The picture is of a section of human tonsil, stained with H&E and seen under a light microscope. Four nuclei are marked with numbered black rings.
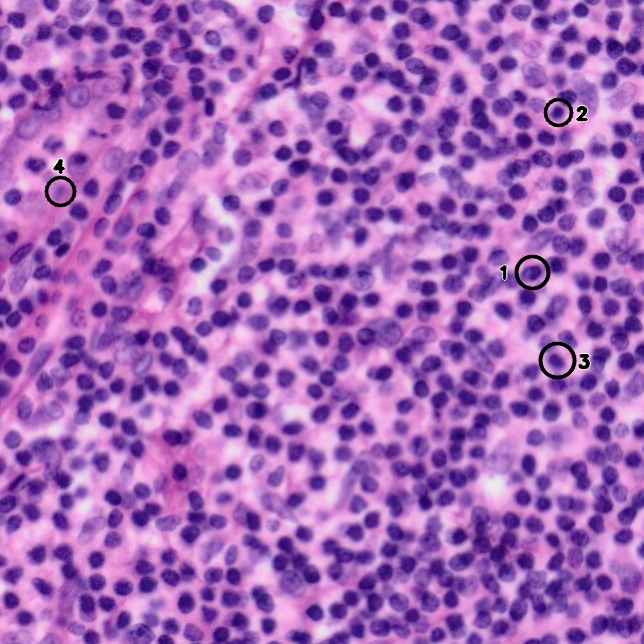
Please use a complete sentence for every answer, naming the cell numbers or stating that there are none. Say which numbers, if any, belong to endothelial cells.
Among all the marked cells, an endothelial cell is found only at number 4.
